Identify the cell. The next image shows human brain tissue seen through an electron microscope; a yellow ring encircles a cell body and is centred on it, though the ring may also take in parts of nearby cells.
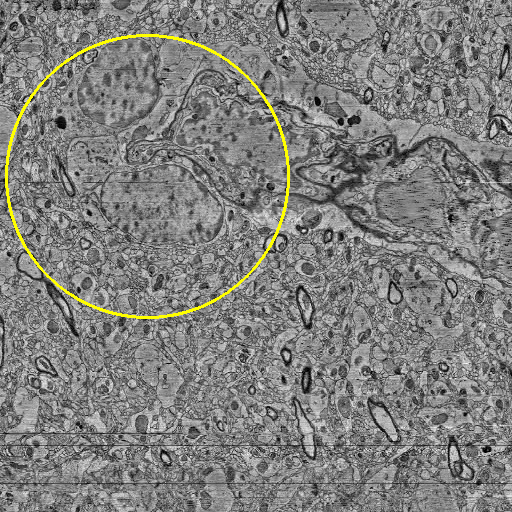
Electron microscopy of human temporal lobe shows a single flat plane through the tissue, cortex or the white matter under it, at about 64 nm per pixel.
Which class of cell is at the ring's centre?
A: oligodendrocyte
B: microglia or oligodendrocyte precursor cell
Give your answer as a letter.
B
